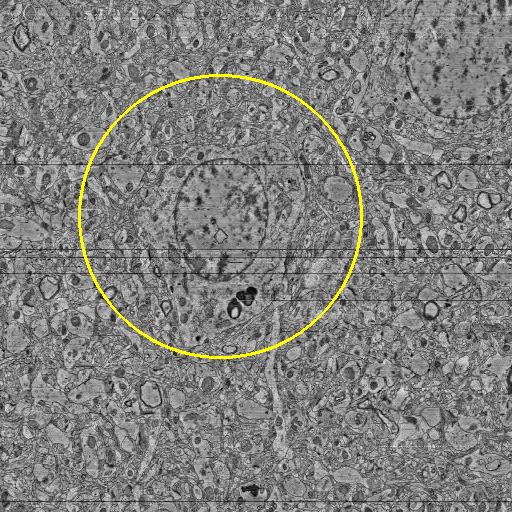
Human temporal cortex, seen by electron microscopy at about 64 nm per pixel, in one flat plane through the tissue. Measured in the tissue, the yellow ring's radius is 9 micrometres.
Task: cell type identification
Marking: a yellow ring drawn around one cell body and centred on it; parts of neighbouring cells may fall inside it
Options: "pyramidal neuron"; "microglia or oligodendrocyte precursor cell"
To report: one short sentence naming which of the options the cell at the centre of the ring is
The cell at the centre of the ring is a pyramidal neuron.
